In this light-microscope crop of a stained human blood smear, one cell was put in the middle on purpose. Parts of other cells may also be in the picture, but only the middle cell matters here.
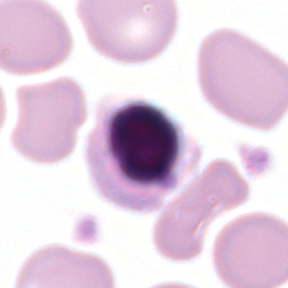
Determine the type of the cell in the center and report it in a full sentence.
The cell of interest, in the center, is an erythroblast.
